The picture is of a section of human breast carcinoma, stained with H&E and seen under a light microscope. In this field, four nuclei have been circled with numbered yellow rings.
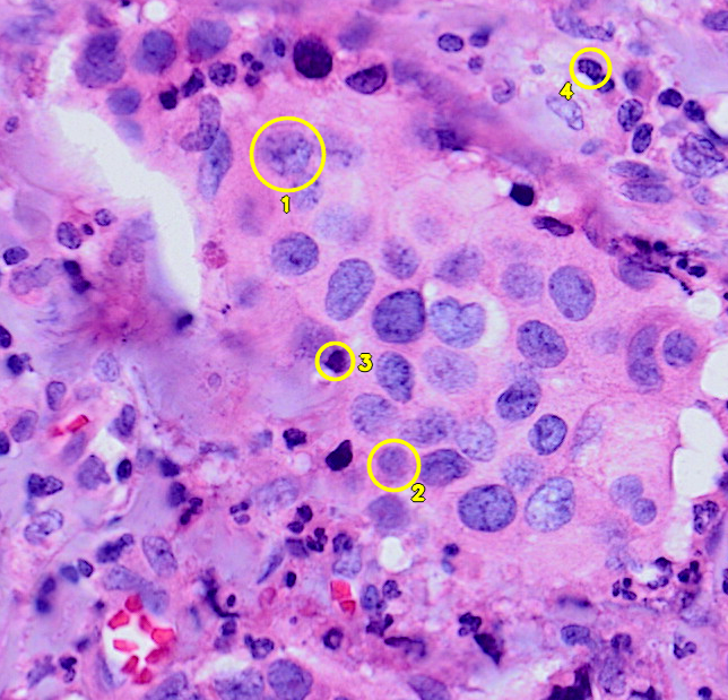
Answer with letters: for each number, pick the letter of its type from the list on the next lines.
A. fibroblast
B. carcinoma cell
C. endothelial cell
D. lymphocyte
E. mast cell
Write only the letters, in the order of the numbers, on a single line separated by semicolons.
B; B; B; D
